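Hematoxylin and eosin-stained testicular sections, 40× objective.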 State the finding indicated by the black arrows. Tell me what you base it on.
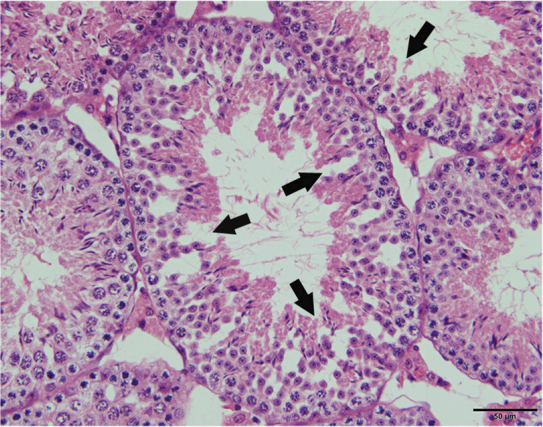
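Clefts and gaps separate groups of cells in the epithelium. The inner cell layers look frayed and separated rather than compact. That points to this answer: loosely arranged spermatogenic cells.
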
